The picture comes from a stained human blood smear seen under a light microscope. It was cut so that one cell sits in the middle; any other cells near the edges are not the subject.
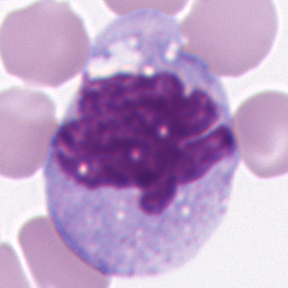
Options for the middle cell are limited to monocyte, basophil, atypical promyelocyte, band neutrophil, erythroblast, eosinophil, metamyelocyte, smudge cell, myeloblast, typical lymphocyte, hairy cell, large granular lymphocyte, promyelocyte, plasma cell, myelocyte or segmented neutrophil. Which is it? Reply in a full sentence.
By classification, the middle cell of this crop is a monocyte.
